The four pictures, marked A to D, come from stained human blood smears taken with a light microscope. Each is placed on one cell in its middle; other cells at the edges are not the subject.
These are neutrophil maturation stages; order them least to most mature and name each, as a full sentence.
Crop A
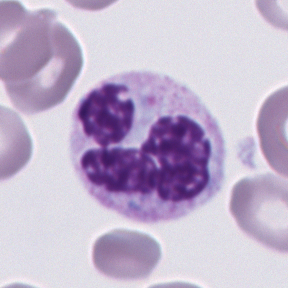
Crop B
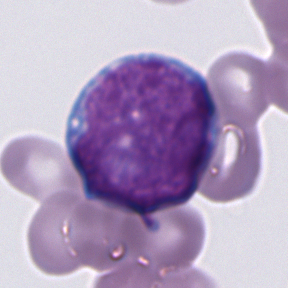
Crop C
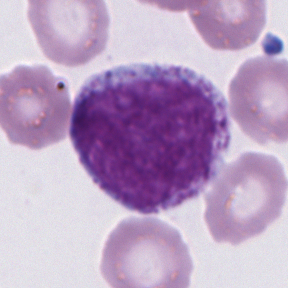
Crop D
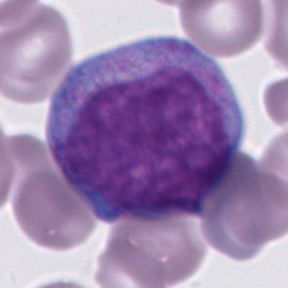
The order of maturity, beginning with the least mature, is crop B (a myeloblast), crop D (a promyelocyte), crop C (a myelocyte) and crop A (a segmented neutrophil).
